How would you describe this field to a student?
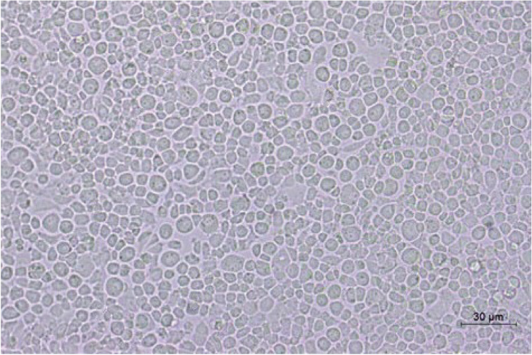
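This is a dense culture of small rounded to polygonal cells seen without staining. The cells lie tightly packed side by side, forming a continuous mosaic like paving stones across the field. Each cell has a bright refractile outline and a slightly granular interior. In a few places the packing is looser and flatter, paler areas show between the rounded cells.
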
